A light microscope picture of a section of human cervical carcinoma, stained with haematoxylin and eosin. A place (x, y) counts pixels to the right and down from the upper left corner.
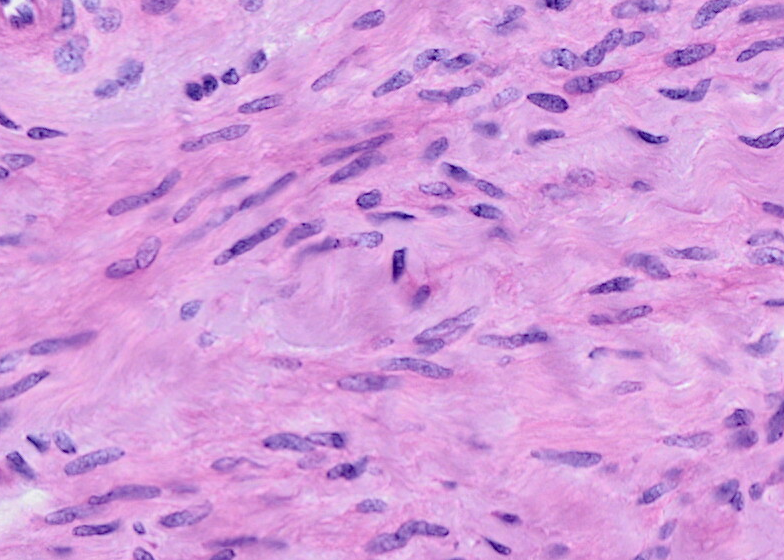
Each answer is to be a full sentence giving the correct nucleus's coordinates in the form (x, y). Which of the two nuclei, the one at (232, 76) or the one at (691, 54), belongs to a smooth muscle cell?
Between the two nuclei, the one sitting at (691, 54) belongs to a smooth muscle cell.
